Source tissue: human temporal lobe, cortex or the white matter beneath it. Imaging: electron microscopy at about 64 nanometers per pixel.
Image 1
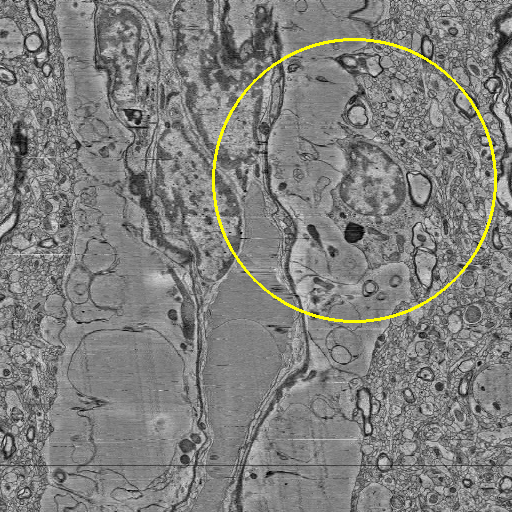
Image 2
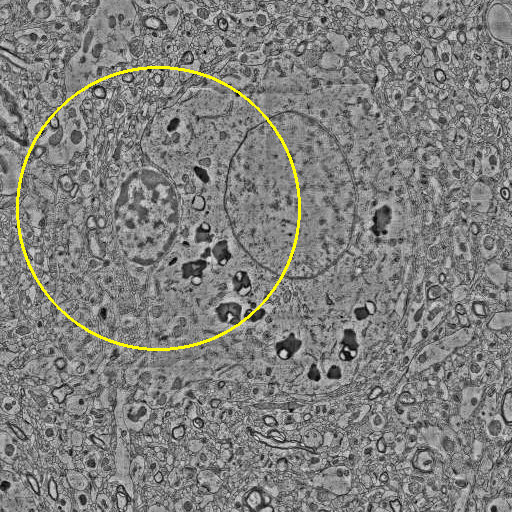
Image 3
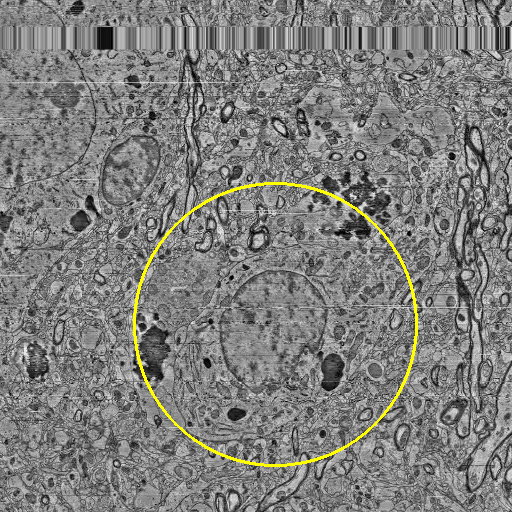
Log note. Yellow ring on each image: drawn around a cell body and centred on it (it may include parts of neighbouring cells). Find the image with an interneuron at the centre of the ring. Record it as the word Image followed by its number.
Image 3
